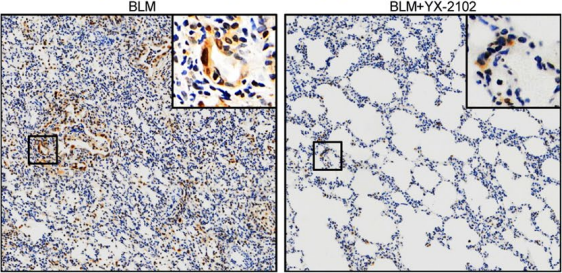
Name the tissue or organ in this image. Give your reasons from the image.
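Open airspaces are separated by thin walls. The thin walls form a lace-like network of polygonal spaces. On this evidence: lungs.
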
